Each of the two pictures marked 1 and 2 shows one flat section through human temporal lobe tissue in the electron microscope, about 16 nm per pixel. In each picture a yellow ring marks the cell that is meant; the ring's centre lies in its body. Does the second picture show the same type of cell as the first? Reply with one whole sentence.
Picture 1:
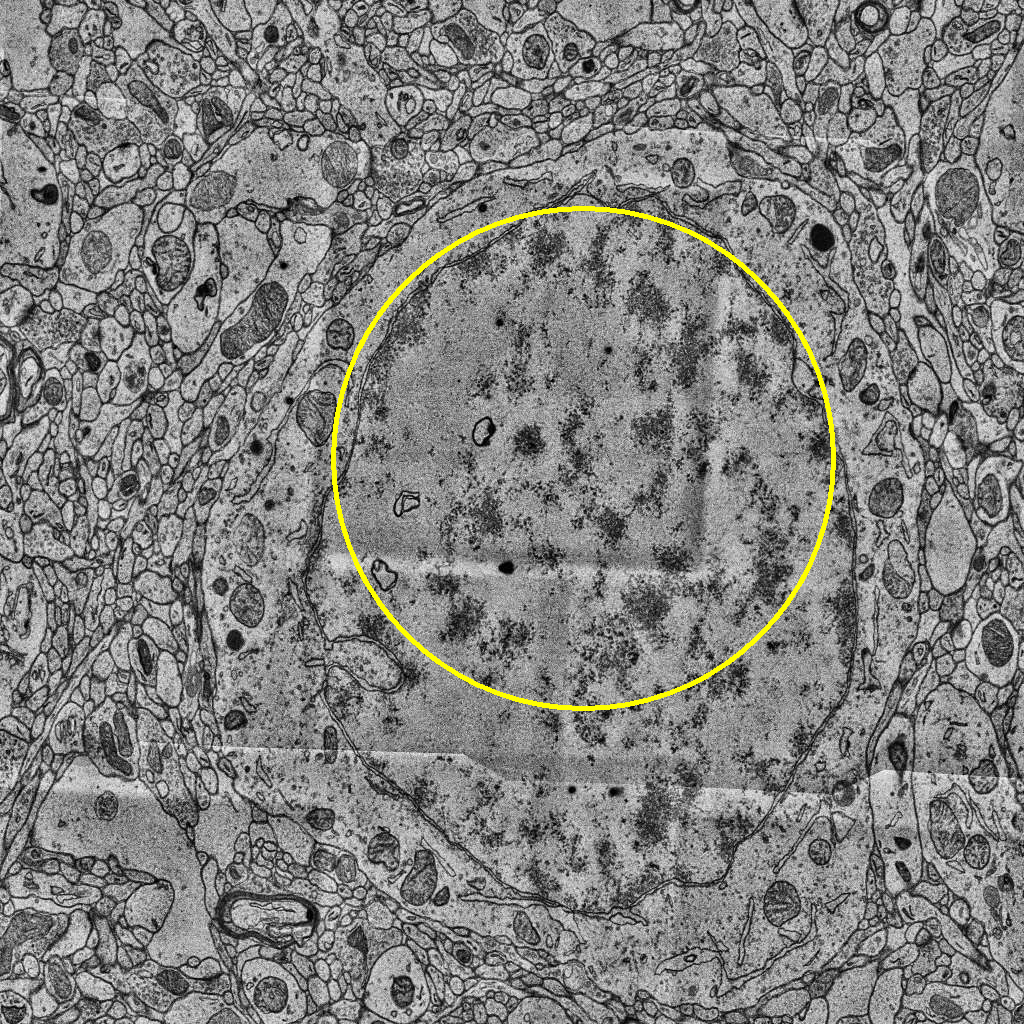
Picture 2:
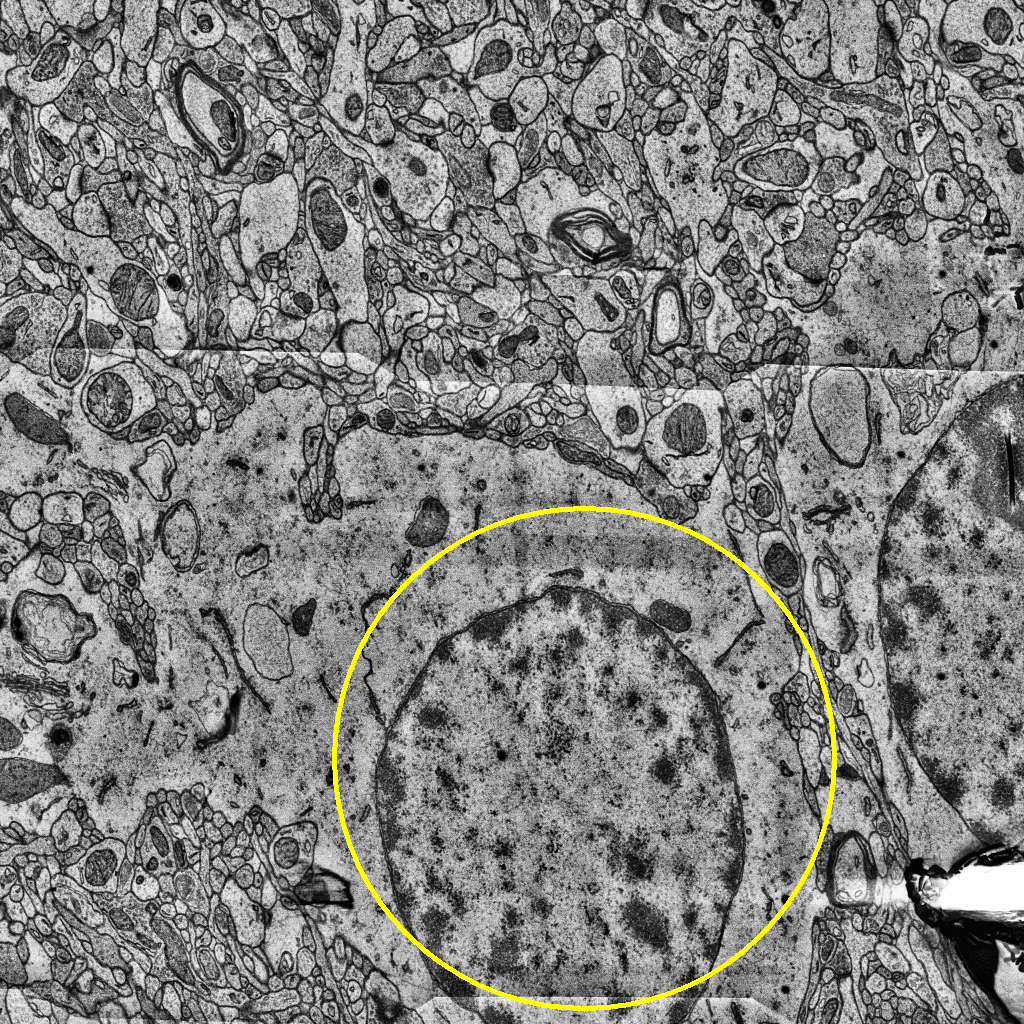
No, picture 1 shows an interneuron and picture 2 shows an astrocyte.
